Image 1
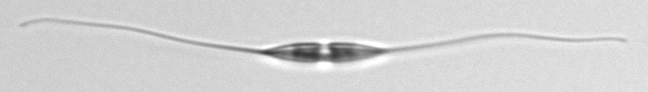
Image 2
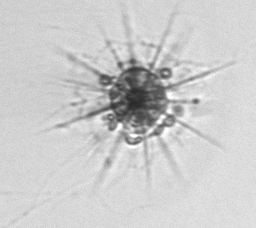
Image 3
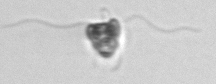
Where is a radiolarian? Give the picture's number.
2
